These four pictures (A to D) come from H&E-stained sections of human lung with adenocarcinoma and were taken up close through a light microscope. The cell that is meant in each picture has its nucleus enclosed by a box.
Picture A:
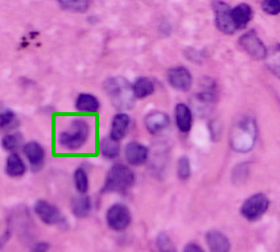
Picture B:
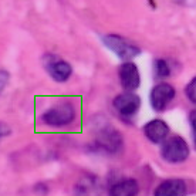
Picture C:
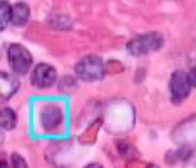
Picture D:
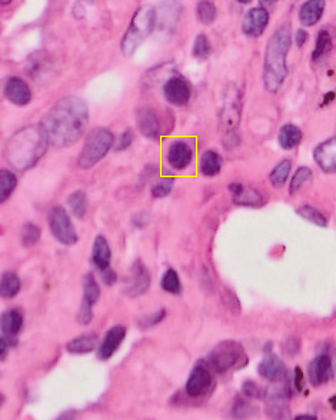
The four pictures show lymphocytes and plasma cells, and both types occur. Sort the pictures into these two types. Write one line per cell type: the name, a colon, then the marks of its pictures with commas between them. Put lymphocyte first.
lymphocyte: A, C, D
plasma cell: B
